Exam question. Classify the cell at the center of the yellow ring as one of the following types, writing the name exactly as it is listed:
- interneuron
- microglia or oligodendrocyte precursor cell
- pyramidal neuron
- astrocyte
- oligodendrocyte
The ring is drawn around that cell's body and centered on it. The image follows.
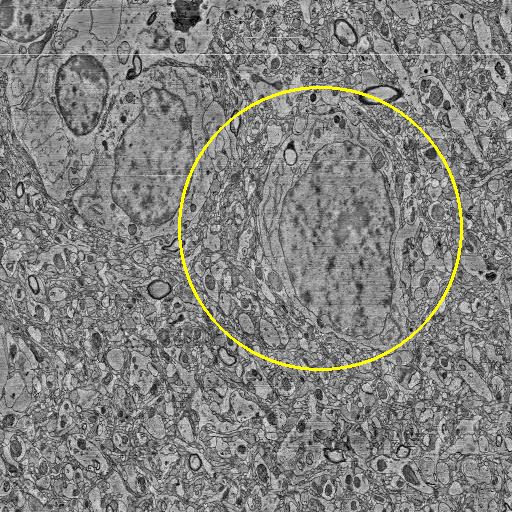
interneuron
